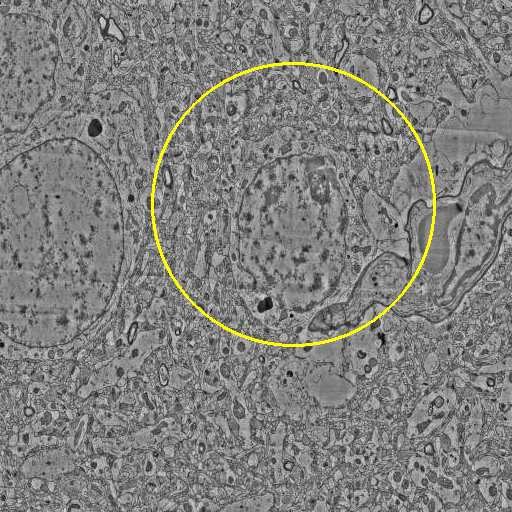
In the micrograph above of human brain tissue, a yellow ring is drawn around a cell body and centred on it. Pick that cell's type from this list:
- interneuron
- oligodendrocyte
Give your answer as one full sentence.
Going by the list, an interneuron is the cell on which the yellow ring is centred.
